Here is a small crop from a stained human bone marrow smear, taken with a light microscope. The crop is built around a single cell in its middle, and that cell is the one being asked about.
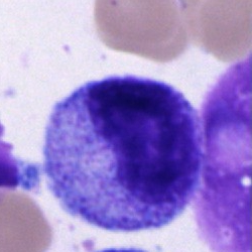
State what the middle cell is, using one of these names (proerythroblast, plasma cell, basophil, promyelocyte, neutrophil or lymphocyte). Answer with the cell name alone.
promyelocyte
